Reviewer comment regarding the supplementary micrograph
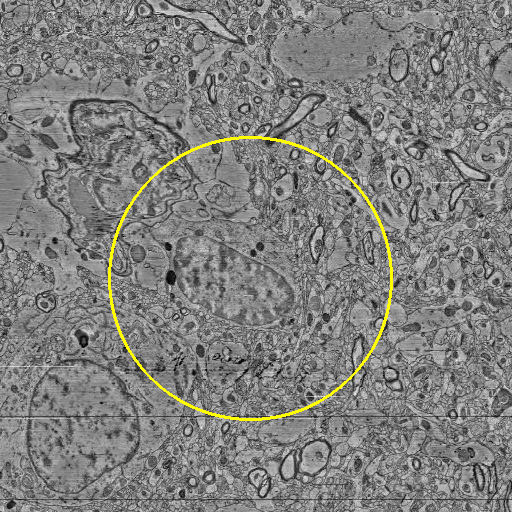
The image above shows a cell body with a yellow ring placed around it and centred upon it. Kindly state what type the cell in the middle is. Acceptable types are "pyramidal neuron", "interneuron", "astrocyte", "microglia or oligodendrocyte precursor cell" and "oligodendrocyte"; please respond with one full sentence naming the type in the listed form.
In the image above, the cell on which the yellow ring is centred is an oligodendrocyte.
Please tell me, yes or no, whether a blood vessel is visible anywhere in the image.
Yes, one is visible.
